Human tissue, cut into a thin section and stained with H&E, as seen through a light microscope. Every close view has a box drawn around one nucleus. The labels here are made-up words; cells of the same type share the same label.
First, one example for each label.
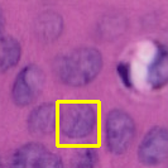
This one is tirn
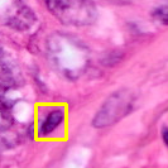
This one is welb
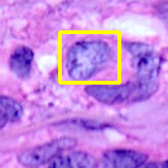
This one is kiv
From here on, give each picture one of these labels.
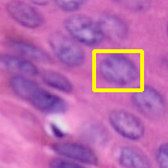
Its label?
tirn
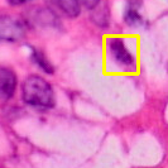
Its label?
welb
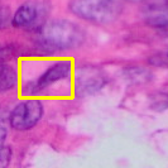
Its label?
welb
